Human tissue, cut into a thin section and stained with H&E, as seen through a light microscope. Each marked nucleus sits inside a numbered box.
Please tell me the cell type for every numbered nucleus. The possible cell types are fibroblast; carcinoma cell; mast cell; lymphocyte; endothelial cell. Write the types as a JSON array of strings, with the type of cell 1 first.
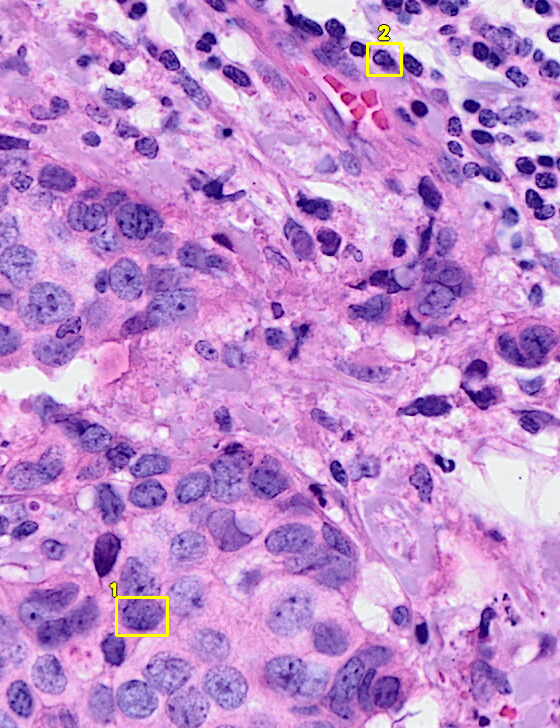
["carcinoma cell", "lymphocyte"]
